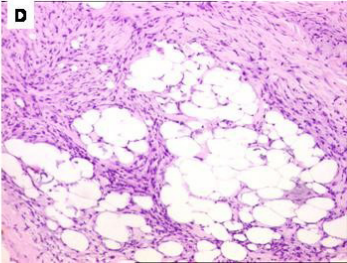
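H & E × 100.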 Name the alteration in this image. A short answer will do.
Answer: Tumor cells infiltrating the fat.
